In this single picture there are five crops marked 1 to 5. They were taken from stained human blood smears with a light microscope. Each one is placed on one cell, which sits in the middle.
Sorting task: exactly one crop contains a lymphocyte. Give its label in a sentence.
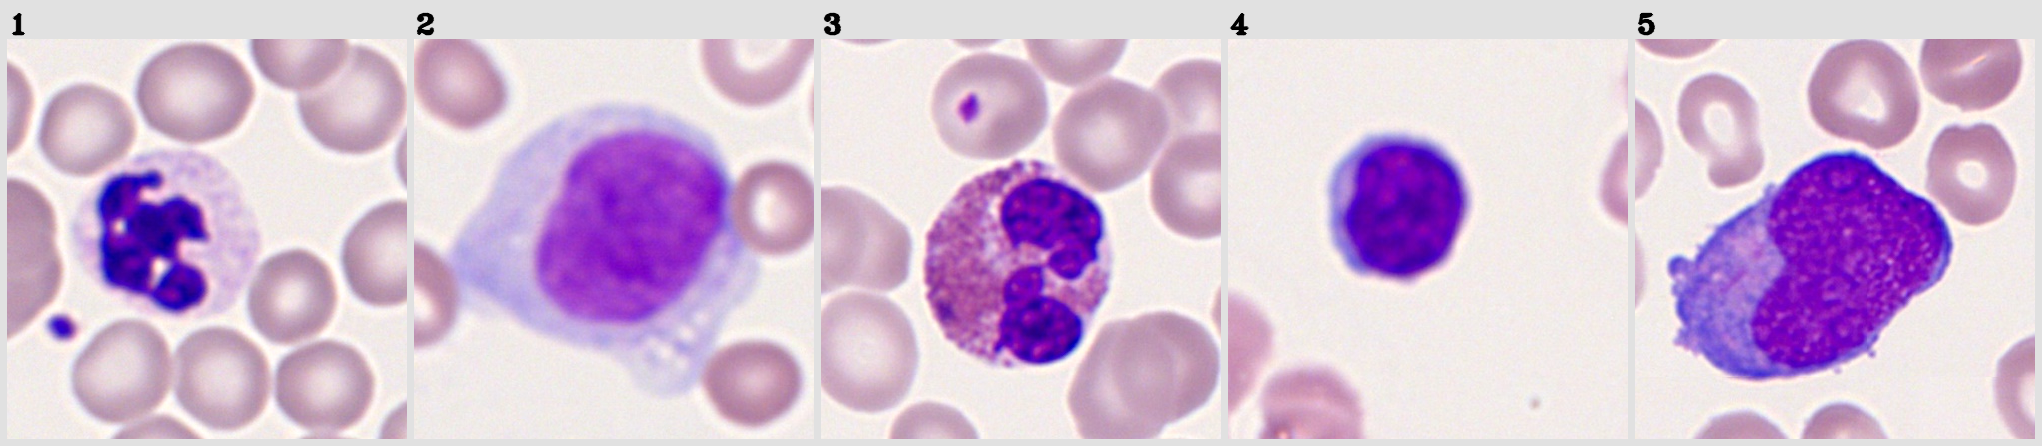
The cell at the center of crop 4 is the one that is a lymphocyte.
